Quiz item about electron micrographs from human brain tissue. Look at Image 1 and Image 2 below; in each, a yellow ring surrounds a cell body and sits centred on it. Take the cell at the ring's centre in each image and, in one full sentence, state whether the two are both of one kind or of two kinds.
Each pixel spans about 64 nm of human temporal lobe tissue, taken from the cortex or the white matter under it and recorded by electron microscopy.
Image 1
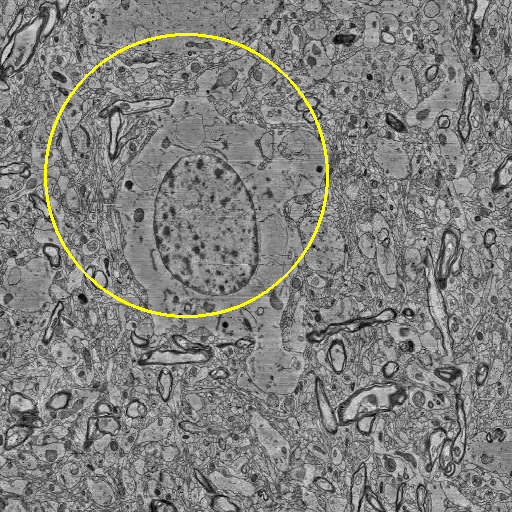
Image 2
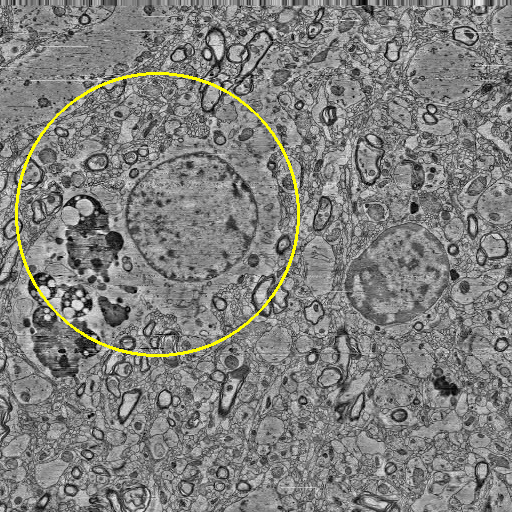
In Image 1 and Image 2, the cells at the ring centres are both of one kind.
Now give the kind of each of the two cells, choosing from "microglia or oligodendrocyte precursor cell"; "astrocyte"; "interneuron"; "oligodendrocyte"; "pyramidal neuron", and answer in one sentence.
Each of the two rings surrounds an astrocyte.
